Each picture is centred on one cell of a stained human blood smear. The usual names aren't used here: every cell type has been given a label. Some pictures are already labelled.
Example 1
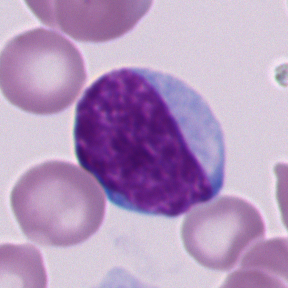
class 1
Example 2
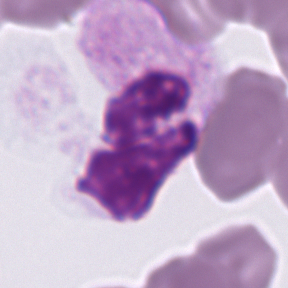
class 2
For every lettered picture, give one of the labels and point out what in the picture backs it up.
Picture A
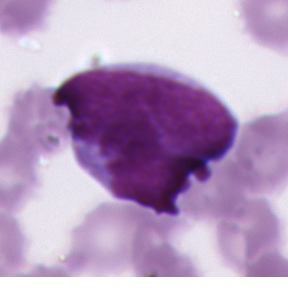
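class 1. Evidence: The nucleus fills almost the whole cell.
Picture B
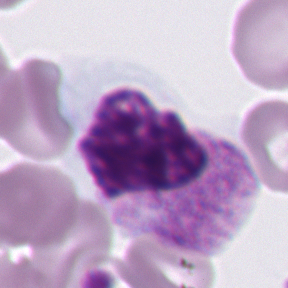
class 2. Evidence: The cytoplasm is plentiful and lies mostly below and to the right of the nucleus.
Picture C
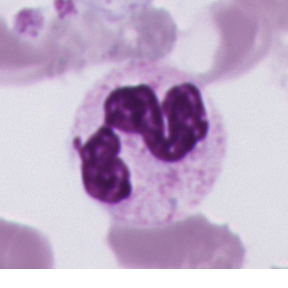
class 2. Evidence: The cytoplasm is plentiful and pale pink.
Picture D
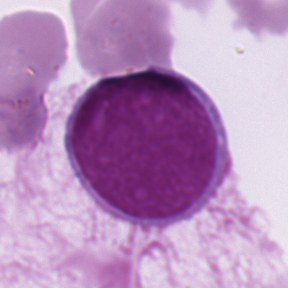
class 1. Evidence: The cytoplasm is only a thin pale bluish rim around the nucleus.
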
